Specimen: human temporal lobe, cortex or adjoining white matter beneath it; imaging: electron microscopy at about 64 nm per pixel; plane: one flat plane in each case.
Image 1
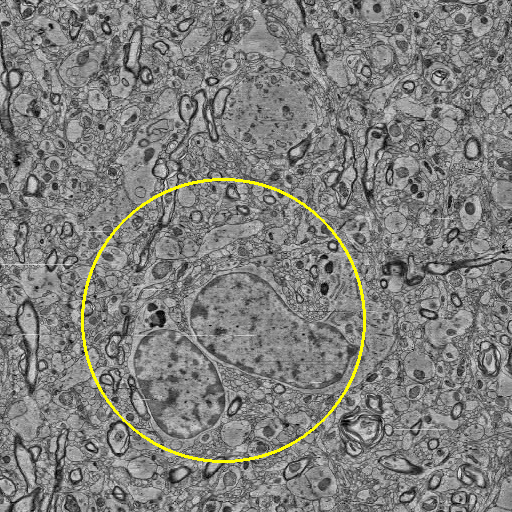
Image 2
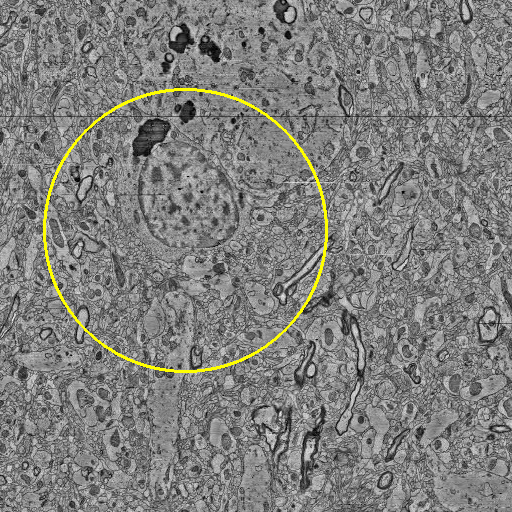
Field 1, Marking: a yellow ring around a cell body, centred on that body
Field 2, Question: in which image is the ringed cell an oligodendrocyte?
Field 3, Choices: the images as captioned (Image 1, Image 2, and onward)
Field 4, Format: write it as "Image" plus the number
Image 2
